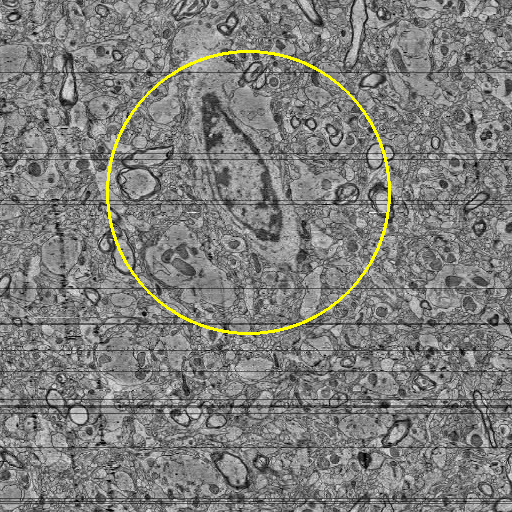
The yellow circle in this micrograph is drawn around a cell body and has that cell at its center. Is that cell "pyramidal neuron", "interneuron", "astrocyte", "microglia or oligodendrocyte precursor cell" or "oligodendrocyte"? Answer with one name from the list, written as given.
microglia or oligodendrocyte precursor cell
